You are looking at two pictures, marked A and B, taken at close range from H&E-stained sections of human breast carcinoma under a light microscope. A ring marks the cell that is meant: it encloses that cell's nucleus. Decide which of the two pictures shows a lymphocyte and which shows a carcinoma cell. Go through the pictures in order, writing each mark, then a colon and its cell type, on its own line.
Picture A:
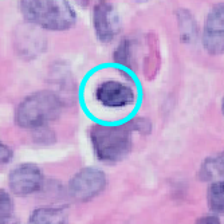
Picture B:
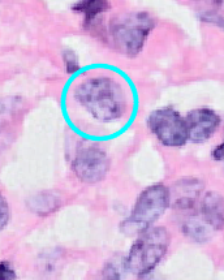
A: lymphocyte
B: carcinoma cell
